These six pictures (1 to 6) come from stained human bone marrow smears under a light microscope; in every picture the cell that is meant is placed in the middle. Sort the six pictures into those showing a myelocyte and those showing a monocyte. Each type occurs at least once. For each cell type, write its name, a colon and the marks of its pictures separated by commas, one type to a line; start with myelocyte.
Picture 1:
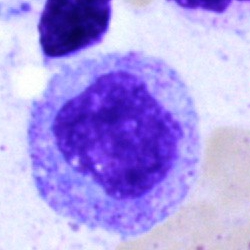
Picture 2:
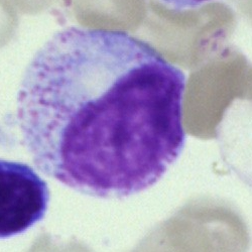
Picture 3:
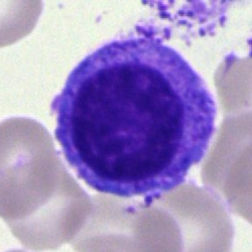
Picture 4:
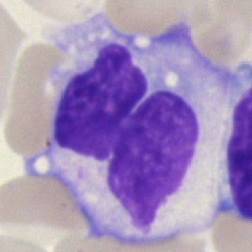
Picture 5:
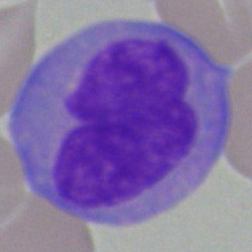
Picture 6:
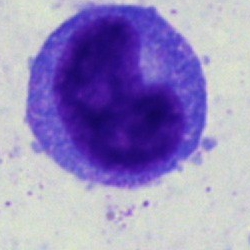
myelocyte: 1, 2, 3
monocyte: 4, 5, 6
